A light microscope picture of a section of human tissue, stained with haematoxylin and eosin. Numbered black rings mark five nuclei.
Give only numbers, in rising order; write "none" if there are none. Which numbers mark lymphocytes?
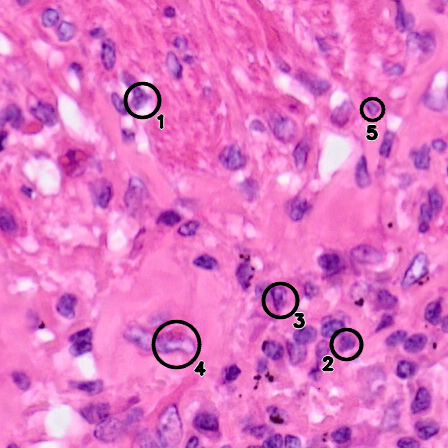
2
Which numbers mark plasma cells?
3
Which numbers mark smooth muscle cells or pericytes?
1, 5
